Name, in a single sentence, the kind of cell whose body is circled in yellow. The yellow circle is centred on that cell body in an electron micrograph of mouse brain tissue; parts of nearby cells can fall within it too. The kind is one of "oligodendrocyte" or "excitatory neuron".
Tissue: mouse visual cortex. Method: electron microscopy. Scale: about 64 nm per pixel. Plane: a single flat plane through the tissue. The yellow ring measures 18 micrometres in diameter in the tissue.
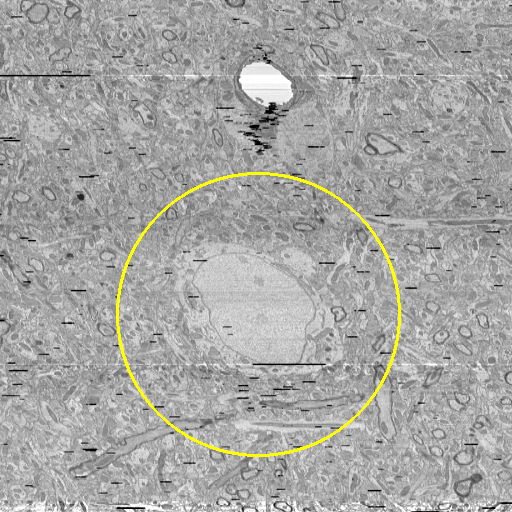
The circled cell body belongs to an excitatory neuron.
